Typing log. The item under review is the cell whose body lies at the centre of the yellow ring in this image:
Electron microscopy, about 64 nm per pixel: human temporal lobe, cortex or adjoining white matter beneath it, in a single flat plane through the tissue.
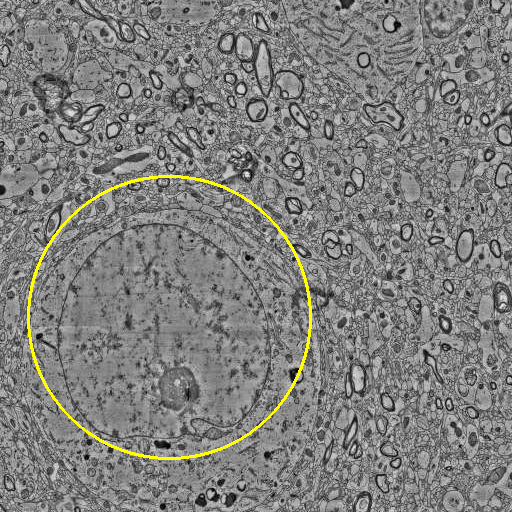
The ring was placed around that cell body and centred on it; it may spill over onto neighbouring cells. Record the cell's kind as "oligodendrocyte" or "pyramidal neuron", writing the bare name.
pyramidal neuron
